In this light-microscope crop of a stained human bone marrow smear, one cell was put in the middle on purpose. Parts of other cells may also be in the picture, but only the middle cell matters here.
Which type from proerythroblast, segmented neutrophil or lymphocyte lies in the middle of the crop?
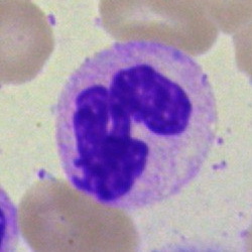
segmented neutrophil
